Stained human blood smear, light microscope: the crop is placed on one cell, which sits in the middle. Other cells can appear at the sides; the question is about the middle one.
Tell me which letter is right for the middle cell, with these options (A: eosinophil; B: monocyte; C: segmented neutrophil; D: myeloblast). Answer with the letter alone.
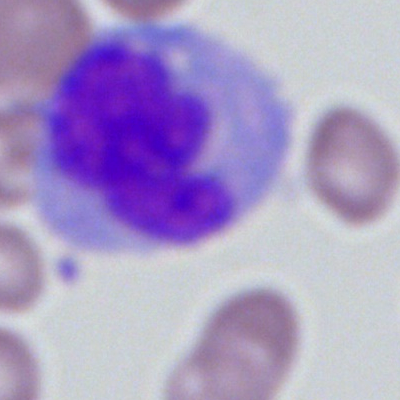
B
